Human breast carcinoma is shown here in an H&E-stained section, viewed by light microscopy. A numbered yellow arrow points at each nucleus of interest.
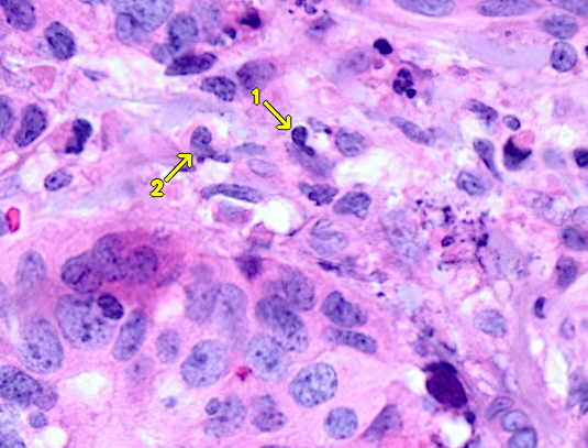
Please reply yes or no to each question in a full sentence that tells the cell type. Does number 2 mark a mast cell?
Yes, the cell that bears number 2 is a mast cell.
